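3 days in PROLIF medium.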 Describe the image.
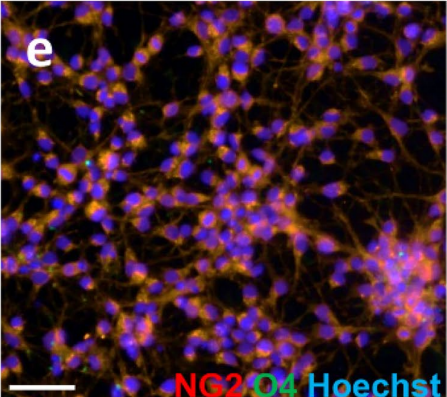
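A dense culture of small cells with round to oval blue nuclei, each surrounded by a thin rim of orange-red stained cytoplasm. Many fine, branching orange-red processes extend from the cell bodies and interconnect into a network across the field. Cells are crowded together and form a tight cluster at the lower right, while only a few scattered green dots are present.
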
